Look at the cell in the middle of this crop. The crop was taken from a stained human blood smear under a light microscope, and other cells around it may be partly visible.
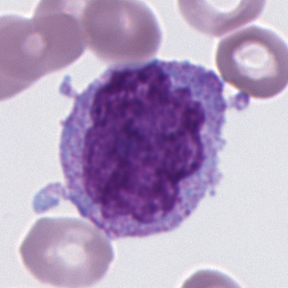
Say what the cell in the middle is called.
atypical promyelocyte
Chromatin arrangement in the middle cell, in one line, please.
Its chromatin is clumped in a coarse pattern.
